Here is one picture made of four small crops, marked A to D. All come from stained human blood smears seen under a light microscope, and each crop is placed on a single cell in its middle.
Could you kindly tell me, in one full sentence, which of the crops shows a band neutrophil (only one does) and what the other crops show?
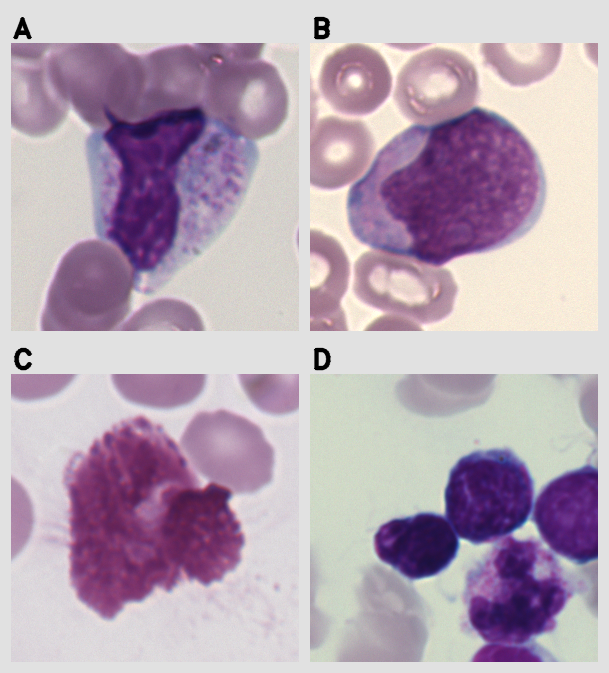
The cell centred in crop A is a band neutrophil; by contrast, crop B is an atypical promyelocyte, crop C is a smudge cell and crop D is a myeloblast.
